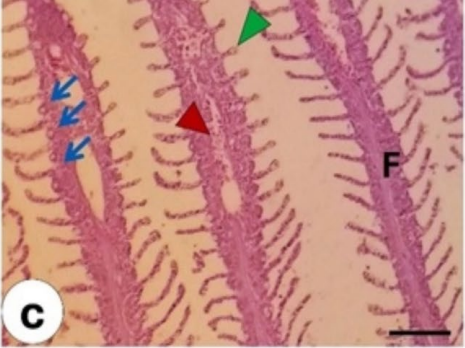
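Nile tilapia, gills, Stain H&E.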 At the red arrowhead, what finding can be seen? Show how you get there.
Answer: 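The red arrowhead lies in the central axis of a filament. Vessel spaces in the central axis are widened.
Conclusion: vascular congestion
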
